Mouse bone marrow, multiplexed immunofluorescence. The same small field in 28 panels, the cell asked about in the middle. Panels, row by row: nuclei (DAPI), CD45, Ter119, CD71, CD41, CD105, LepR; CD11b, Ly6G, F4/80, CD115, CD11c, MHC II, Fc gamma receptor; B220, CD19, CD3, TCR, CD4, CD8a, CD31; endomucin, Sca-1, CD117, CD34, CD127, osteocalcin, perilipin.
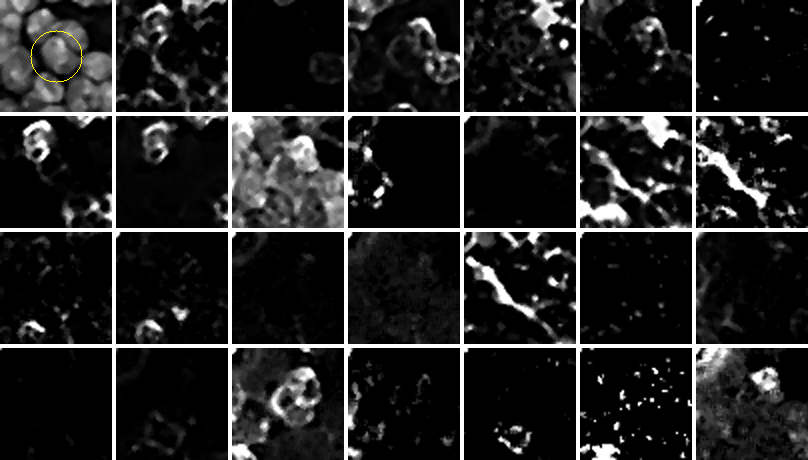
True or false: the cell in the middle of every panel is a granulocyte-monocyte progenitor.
True.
